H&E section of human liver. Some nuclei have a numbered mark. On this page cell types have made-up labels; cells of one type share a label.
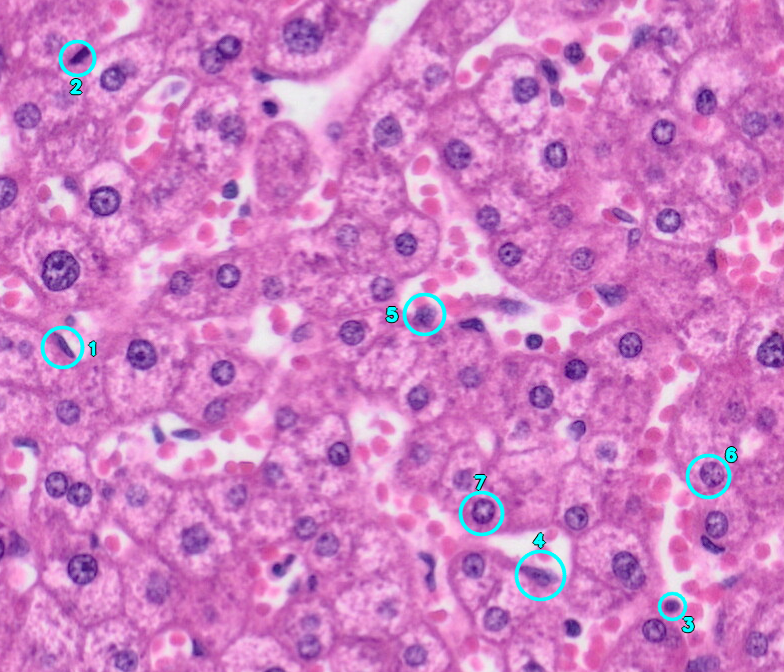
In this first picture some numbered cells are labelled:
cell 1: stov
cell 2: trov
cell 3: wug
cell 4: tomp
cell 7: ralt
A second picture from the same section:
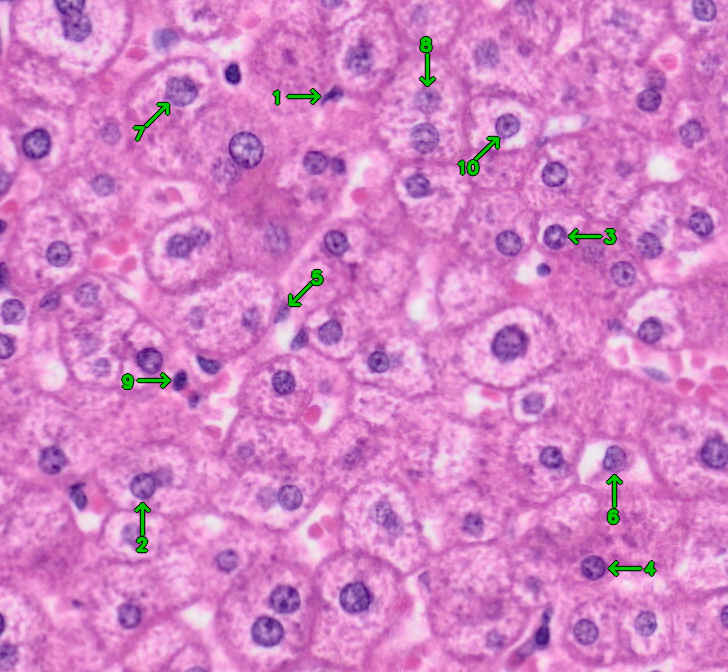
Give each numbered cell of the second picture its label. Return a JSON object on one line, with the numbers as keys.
{"1": "stov", "2": "ralt", "3": "ralt", "4": "ralt", "5": "stov", "6": "tomp", "7": "ralt", "8": "ralt", "9": "wug", "10": "ralt"}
